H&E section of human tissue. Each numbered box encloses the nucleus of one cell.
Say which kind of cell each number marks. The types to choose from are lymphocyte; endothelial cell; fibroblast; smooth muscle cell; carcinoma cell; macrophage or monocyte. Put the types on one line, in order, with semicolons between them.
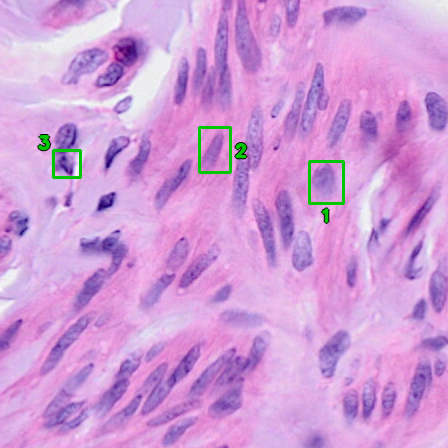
smooth muscle cell; smooth muscle cell; fibroblast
